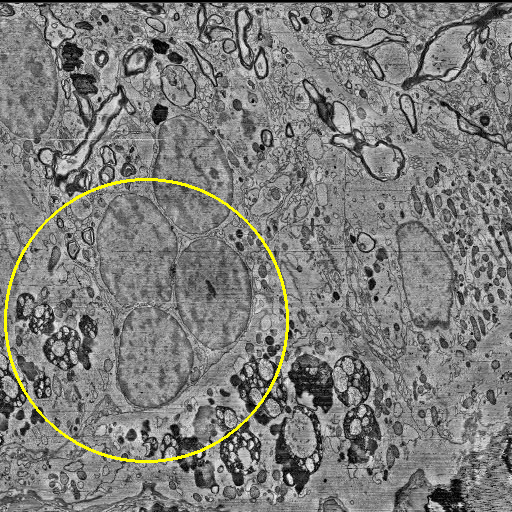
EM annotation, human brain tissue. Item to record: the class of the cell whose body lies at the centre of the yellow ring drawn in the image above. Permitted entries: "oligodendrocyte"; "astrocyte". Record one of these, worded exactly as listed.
oligodendrocyte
